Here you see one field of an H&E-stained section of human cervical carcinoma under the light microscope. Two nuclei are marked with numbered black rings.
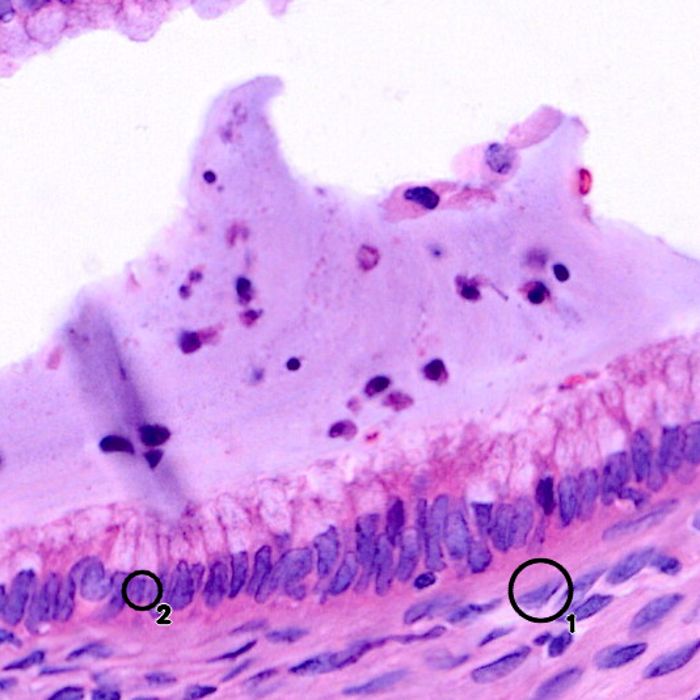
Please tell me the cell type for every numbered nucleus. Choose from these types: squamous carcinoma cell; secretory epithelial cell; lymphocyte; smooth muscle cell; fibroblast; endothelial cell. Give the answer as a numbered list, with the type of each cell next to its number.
1. fibroblast
2. secretory epithelial cell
